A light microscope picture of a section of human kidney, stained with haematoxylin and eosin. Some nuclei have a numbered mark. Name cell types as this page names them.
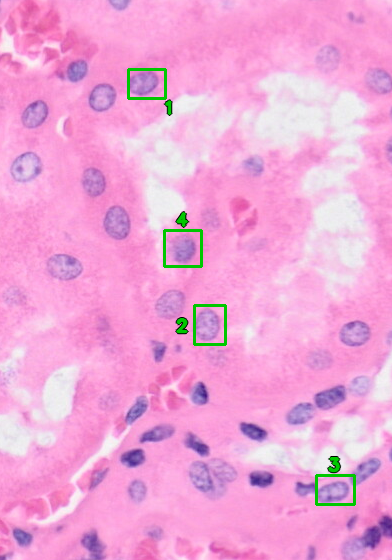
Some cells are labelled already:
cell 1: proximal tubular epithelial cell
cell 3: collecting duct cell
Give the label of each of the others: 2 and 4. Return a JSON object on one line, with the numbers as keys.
{"2": "proximal tubular epithelial cell", "4": "proximal tubular epithelial cell"}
